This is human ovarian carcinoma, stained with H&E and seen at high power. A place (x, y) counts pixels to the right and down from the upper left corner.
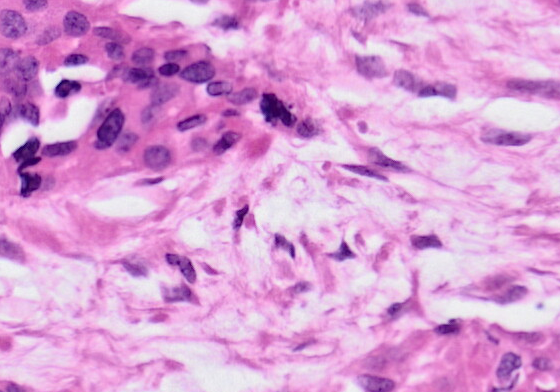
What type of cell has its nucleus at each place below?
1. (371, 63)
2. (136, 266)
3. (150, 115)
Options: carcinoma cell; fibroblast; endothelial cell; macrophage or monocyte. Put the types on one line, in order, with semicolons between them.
fibroblast; fibroblast; carcinoma cell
